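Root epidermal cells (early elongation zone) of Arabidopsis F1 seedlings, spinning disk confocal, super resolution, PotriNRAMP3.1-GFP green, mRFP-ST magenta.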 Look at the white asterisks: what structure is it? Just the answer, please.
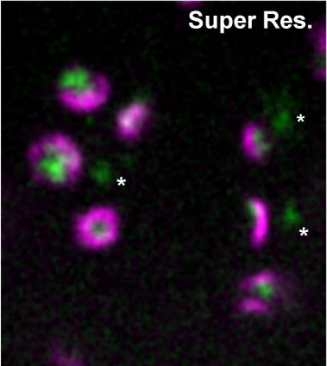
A: Golgi-independent structures.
